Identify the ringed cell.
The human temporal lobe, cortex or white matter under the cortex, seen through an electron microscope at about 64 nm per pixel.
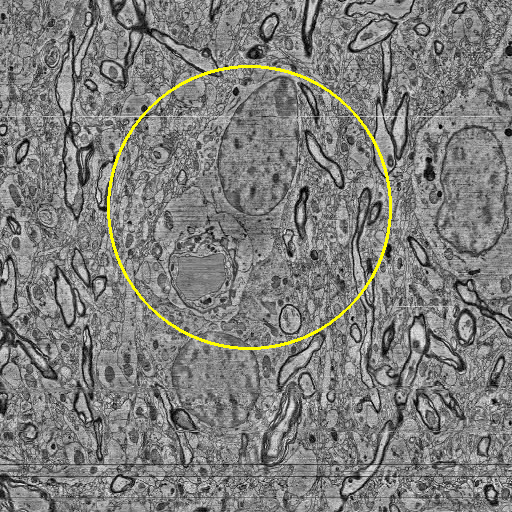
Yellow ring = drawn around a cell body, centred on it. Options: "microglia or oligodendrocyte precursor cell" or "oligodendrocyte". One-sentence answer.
What the ring is centred on is a microglial cell or oligodendrocyte precursor cell.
